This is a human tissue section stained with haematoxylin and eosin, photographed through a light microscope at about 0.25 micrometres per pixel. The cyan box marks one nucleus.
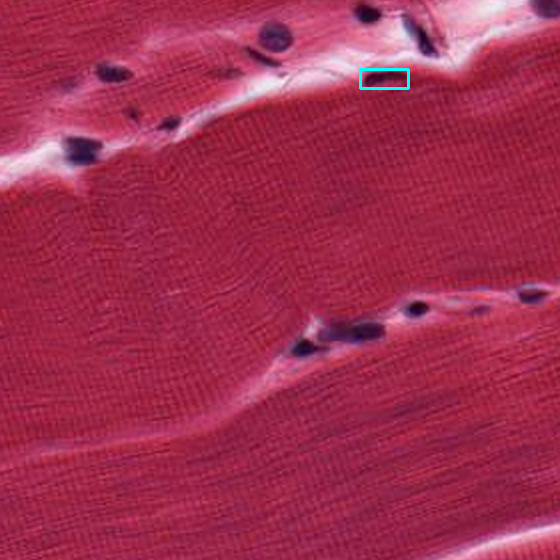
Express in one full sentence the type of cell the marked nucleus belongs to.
The cell that the marked nucleus belongs to is a skeletal muscle fibre.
